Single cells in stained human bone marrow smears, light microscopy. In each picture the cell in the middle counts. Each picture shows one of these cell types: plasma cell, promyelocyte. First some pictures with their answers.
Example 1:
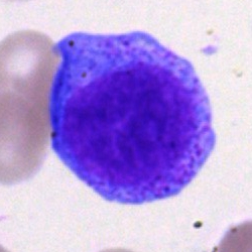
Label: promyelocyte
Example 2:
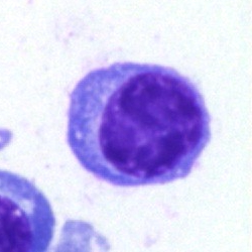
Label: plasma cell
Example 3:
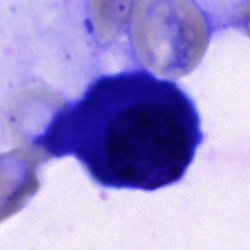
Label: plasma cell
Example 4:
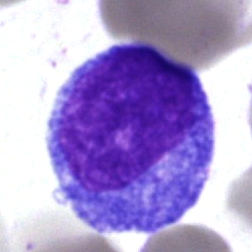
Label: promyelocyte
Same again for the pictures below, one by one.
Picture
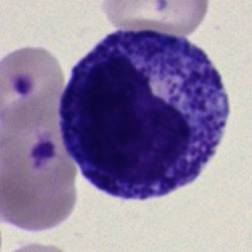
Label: promyelocyte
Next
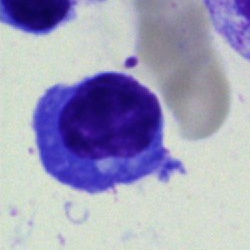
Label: plasma cell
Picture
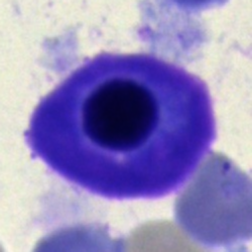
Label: plasma cell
